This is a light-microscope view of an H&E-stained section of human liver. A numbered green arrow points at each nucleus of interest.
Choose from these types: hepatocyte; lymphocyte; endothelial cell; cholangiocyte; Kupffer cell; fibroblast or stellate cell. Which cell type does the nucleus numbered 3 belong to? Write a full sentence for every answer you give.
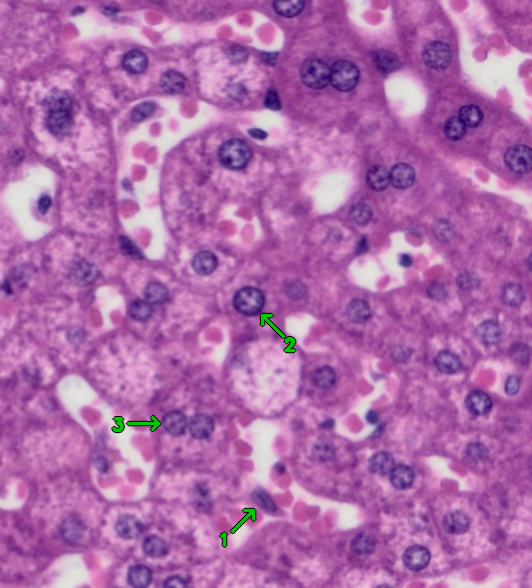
Marked with the number 3, this cell is a hepatocyte.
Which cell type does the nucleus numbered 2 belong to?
Looking at the numbered marks, cell 2 is a hepatocyte.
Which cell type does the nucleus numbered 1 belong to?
The cell that goes by number 1 is a Kupffer cell.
